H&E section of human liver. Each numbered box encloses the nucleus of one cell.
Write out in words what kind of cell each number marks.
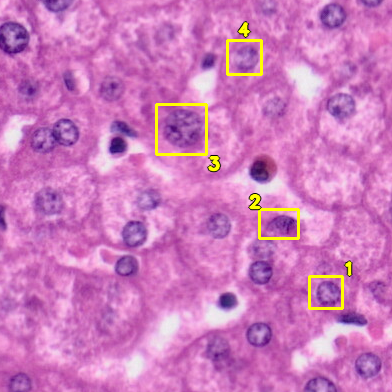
Cell 1 is a hepatocyte, cell 2 is a Kupffer cell, cell 3 is a hepatocyte and cell 4 is a hepatocyte.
